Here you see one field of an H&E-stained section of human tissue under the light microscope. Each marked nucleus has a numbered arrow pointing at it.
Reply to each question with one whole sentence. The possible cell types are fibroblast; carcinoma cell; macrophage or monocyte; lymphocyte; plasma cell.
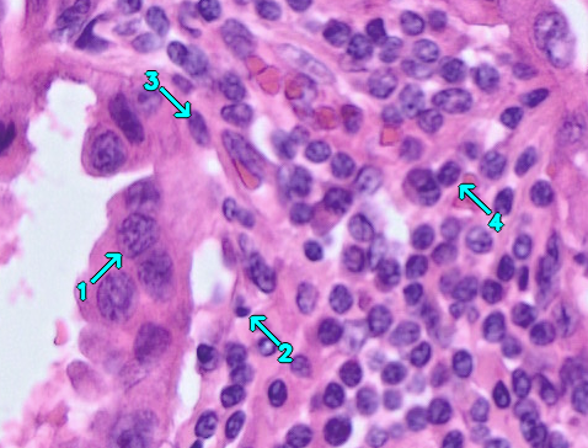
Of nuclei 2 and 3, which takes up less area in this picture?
Nucleus 2 is the smaller one; nucleus 3 covers about 1.5 times its area.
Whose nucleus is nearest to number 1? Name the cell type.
Number 1 lies closest to the nucleus of a carcinoma cell.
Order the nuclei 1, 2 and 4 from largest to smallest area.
The nuclei rank 1, 4, 2, from largest to smallest.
